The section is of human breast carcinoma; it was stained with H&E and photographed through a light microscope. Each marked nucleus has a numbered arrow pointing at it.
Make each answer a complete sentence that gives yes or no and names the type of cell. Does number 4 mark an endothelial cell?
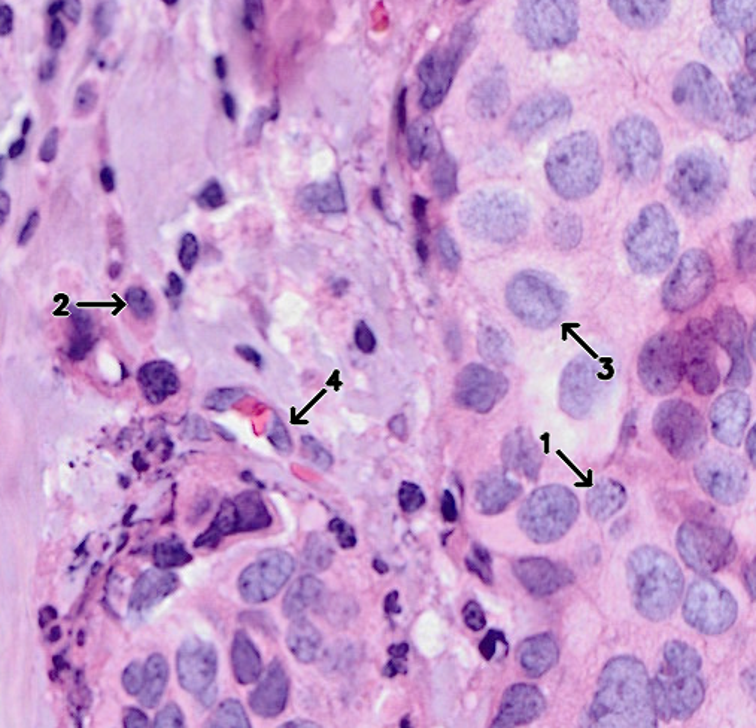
Yes, what number 4 marks is an endothelial cell.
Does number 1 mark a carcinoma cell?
Yes, the numbered cell 1 is identified as a carcinoma cell.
